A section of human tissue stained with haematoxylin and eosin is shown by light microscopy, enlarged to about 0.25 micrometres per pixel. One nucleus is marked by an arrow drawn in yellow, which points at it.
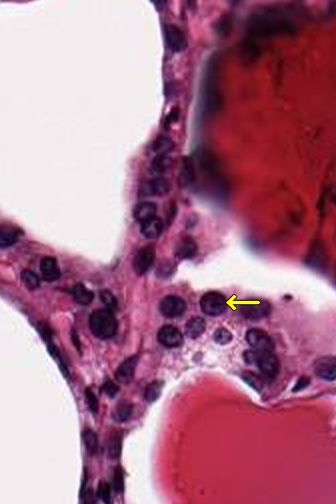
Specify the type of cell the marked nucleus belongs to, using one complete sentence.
The marked nucleus lies within a thyroid follicular cell.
